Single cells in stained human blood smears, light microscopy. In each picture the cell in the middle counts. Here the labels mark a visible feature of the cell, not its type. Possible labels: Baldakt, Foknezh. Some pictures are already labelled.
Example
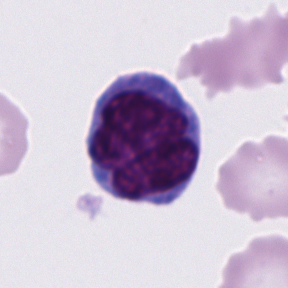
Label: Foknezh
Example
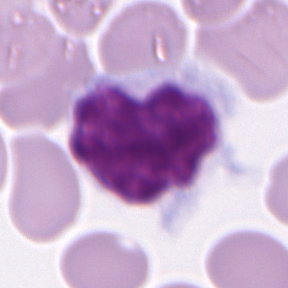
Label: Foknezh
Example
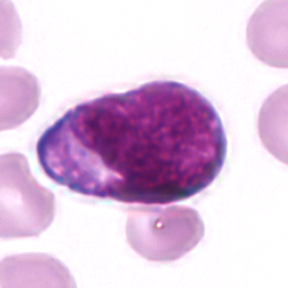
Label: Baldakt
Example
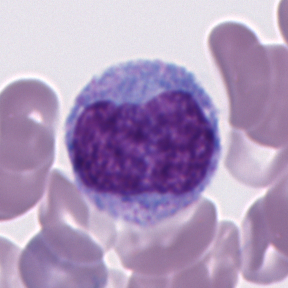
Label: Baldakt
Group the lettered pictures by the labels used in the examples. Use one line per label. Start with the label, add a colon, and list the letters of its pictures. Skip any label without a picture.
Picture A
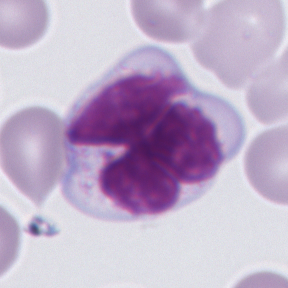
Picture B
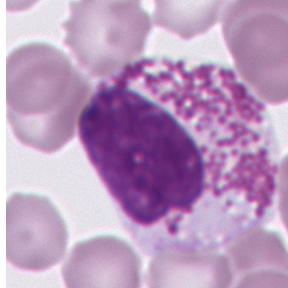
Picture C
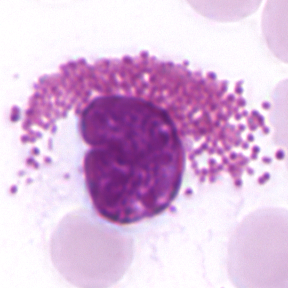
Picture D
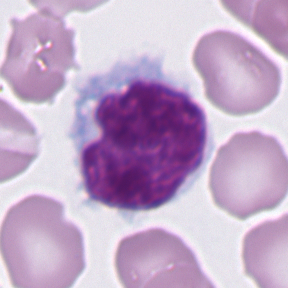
Baldakt: B, C, D
Foknezh: A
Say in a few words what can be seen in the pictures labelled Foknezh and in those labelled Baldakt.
Foknezh: lobed nucleus; Baldakt: single compact nucleus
